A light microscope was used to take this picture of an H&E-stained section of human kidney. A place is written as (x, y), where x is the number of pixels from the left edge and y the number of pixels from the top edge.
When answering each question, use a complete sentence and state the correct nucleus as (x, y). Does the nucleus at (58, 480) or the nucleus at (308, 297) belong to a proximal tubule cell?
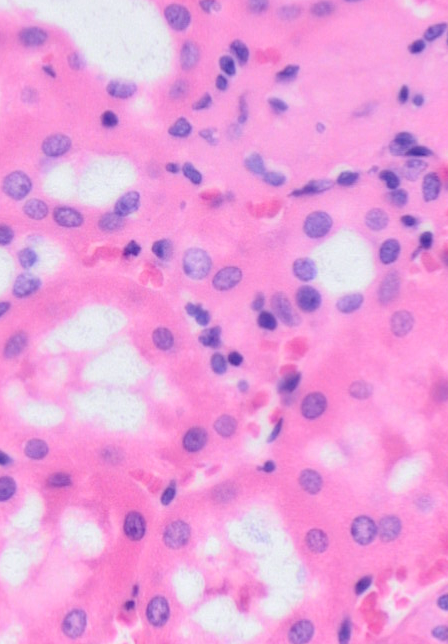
In this pair, the nucleus at (58, 480) belongs to a proximal tubule cell.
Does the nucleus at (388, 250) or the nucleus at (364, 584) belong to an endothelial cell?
It is the nucleus at (364, 584) that forms part of an endothelial cell.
